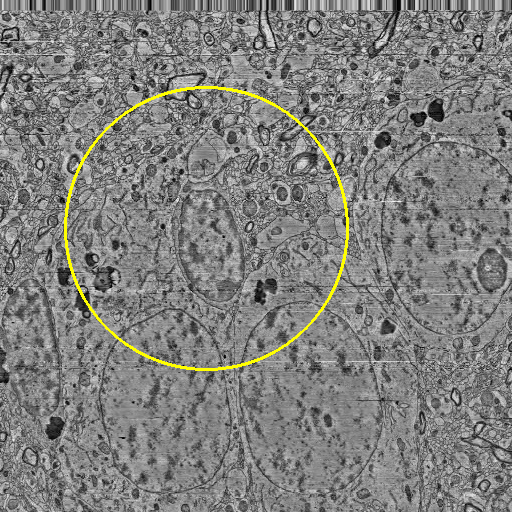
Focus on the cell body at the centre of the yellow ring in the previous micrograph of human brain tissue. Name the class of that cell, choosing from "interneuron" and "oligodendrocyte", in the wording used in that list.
oligodendrocyte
